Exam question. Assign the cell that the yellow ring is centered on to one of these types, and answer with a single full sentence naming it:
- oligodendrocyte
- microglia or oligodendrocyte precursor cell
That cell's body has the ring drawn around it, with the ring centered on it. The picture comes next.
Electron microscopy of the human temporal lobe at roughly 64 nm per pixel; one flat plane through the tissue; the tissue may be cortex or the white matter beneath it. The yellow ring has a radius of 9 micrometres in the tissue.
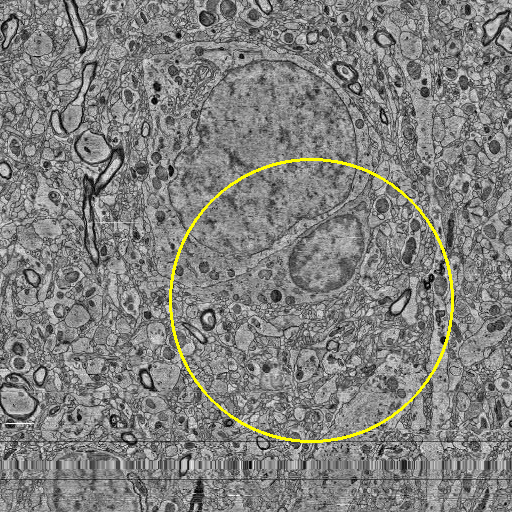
In the micrograph, the cell the yellow ring is centered on is an oligodendrocyte.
